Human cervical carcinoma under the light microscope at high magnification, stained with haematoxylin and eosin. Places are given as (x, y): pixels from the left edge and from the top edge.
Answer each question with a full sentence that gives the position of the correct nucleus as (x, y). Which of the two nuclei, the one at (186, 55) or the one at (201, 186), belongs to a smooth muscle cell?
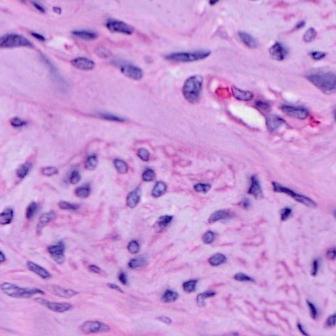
Located at (201, 186), this nucleus is the one belonging to a smooth muscle cell.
